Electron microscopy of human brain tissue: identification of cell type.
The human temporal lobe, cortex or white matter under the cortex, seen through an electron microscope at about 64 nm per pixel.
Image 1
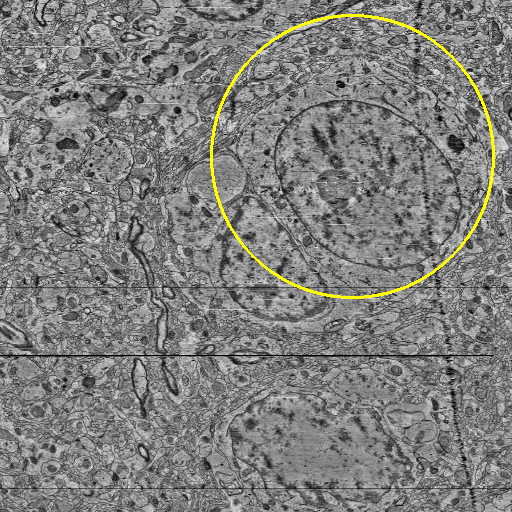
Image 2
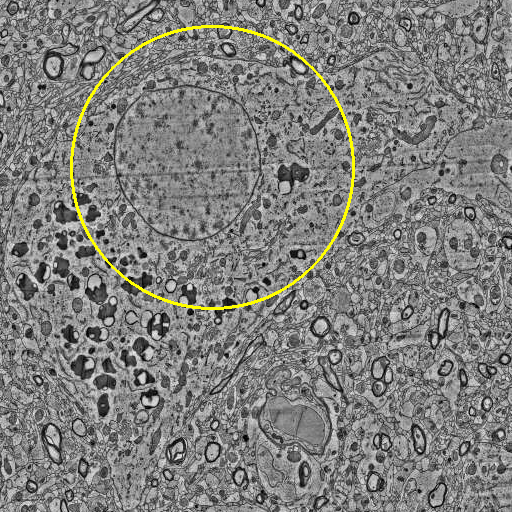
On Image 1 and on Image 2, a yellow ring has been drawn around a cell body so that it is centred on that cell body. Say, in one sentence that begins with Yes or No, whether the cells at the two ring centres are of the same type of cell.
Yes, both cells are the same type of cell.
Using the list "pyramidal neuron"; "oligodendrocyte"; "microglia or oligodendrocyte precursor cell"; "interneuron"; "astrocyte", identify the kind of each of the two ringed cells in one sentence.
In each of the two pictures, the ringed cell is a pyramidal neuron.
